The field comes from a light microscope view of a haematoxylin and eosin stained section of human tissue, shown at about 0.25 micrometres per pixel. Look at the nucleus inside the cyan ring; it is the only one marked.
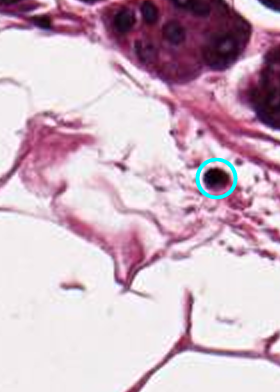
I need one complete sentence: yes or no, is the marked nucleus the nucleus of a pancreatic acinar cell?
No, the marked nucleus is part of a supporting cell and does not belong to a pancreatic acinar cell.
